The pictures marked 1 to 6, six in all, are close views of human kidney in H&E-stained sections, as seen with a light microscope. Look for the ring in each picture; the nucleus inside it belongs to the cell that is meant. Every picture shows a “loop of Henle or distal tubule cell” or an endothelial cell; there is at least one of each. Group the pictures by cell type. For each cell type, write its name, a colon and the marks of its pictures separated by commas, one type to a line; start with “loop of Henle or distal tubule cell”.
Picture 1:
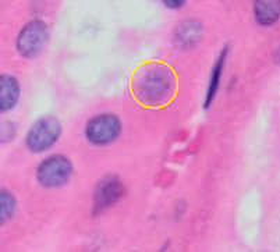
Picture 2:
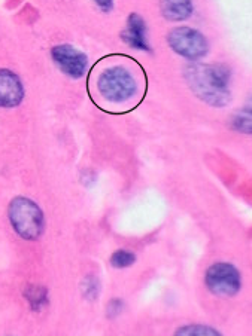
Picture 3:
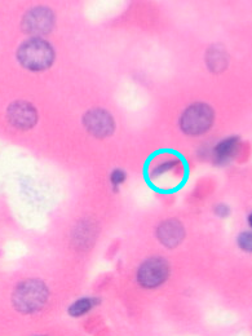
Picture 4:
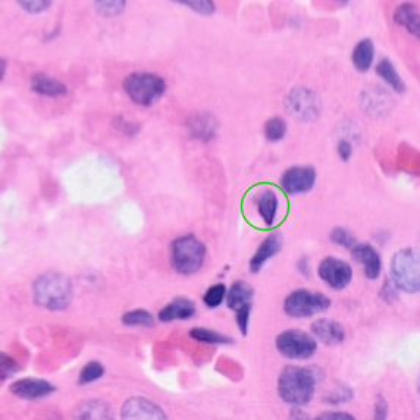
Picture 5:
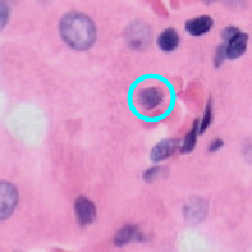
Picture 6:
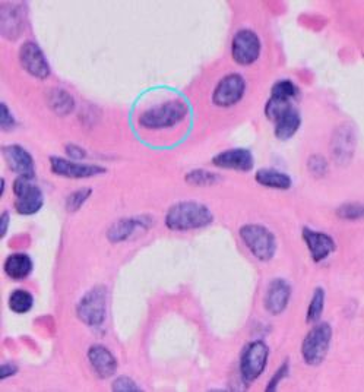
loop of Henle or distal tubule cell: 1, 2, 6
endothelial cell: 3, 4, 5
